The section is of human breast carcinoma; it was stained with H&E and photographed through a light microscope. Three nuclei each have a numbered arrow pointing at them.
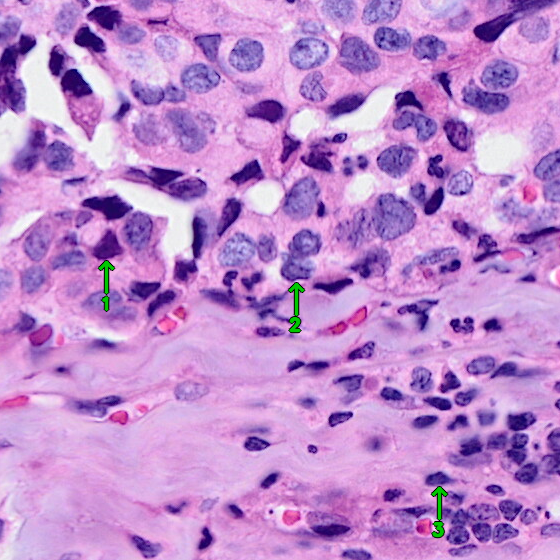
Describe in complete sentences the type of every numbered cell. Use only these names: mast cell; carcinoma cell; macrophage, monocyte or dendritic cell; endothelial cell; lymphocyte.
Cell 1 is a carcinoma cell, cell 2 is a carcinoma cell and cell 3 is a lymphocyte.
